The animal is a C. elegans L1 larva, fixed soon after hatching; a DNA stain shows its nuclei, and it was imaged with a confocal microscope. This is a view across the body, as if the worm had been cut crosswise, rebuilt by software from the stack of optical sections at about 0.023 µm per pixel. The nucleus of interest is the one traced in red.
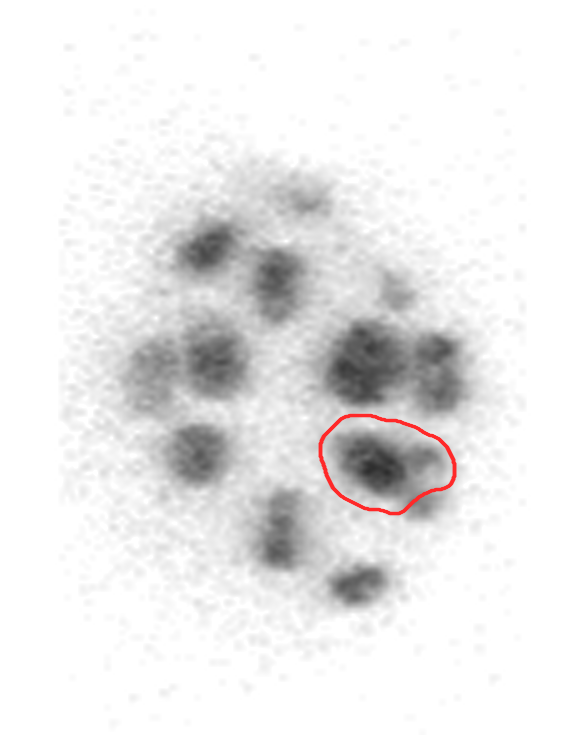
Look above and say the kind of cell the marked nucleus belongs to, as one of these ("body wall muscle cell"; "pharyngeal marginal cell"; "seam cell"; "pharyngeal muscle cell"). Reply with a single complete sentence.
This is the nucleus of a pharyngeal marginal cell.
